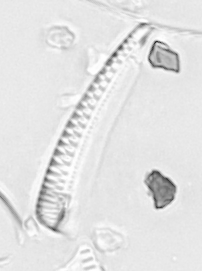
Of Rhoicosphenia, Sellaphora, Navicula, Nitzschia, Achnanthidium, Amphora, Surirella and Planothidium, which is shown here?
Rhoicosphenia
